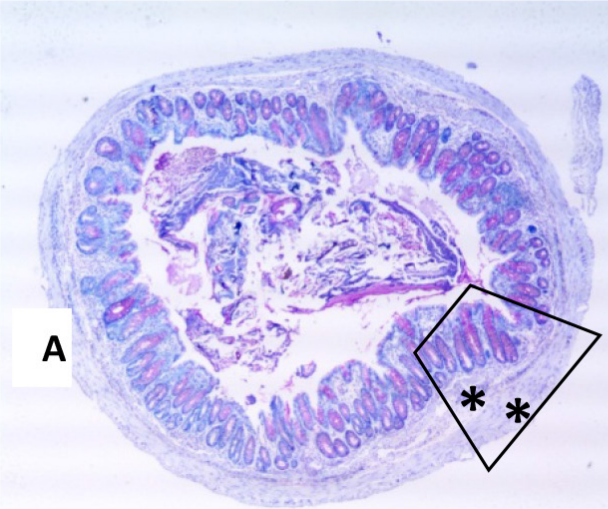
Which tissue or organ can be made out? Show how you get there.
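A transverse section of a tubular organ with a central lumen holding contents. The mucosa is lined by closely packed straight tubular glands. An outer muscular wall surrounds the mucosa. So: colon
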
